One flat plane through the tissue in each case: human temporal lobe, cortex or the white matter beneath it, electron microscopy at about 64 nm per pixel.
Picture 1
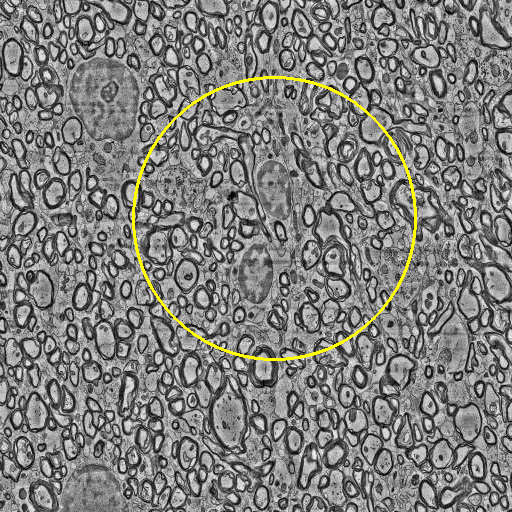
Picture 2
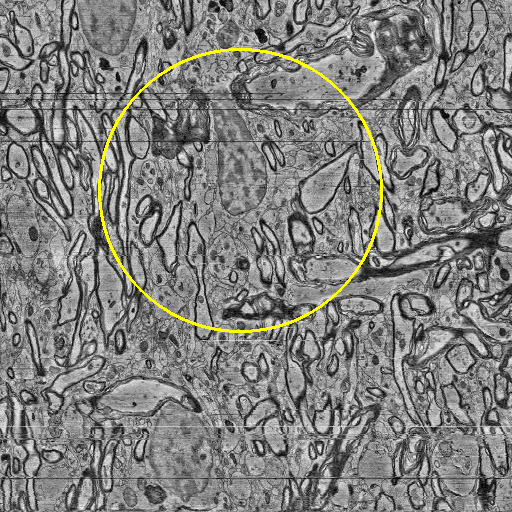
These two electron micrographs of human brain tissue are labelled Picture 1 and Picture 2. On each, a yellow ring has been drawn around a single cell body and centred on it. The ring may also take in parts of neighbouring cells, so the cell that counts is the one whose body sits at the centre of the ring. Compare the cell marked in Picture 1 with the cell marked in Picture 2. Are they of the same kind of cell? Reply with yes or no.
yes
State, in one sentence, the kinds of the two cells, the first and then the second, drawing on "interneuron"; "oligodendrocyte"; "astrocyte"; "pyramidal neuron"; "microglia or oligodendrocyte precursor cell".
The first and the second cell are each a microglial cell or oligodendrocyte precursor cell.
